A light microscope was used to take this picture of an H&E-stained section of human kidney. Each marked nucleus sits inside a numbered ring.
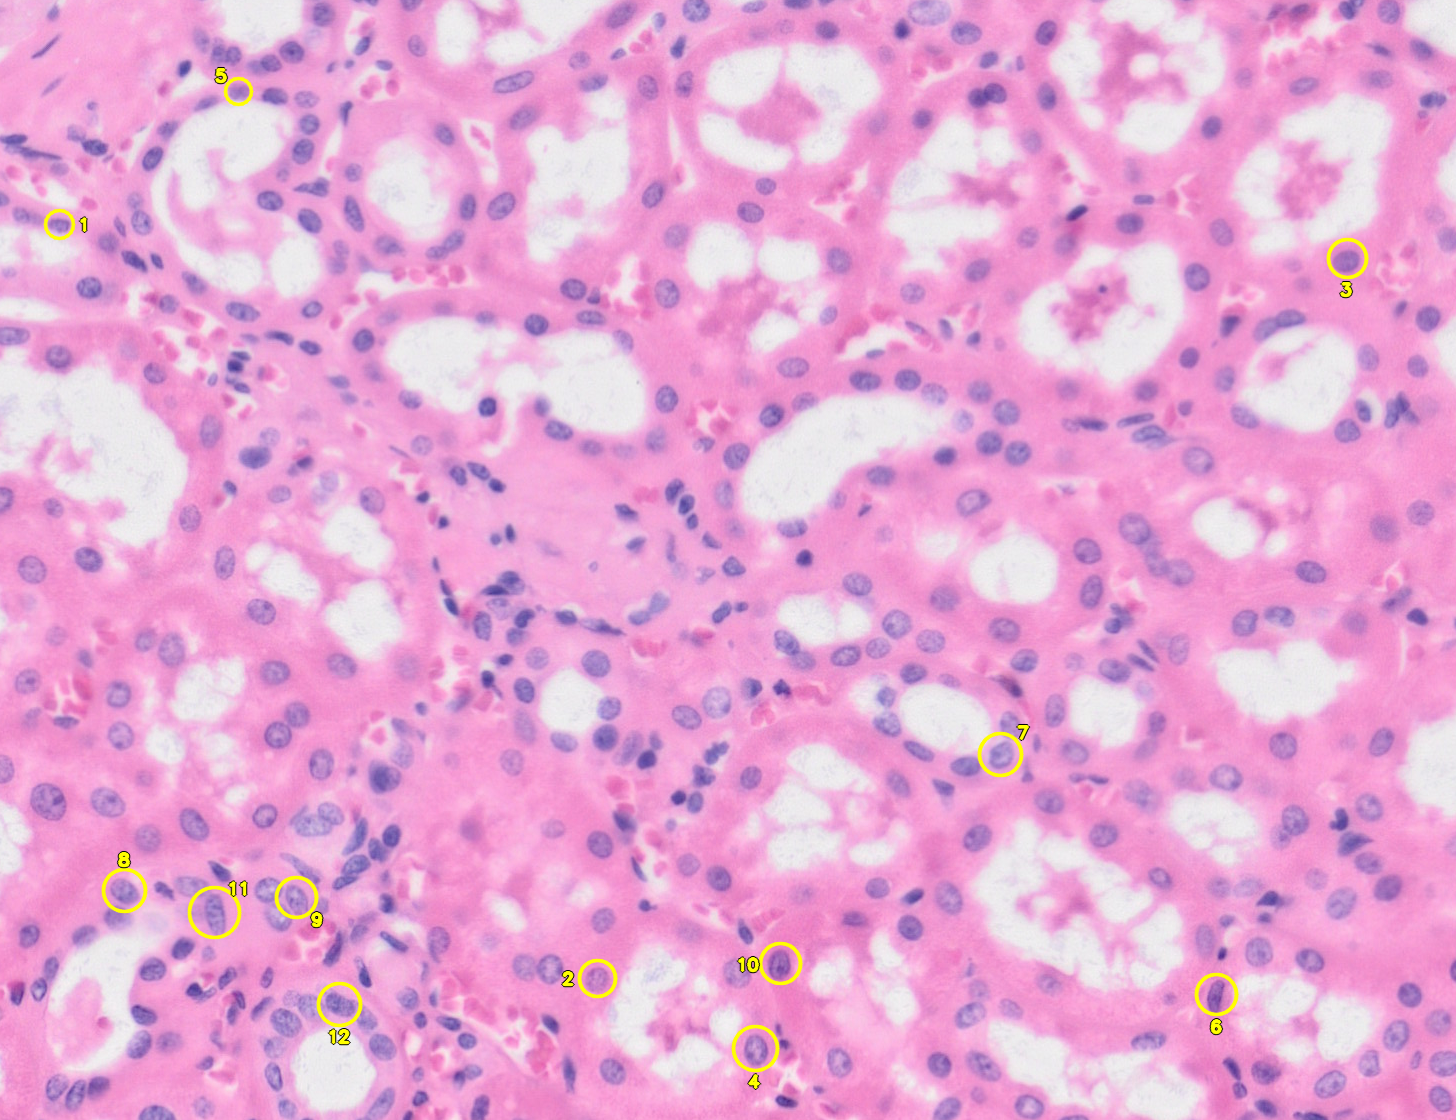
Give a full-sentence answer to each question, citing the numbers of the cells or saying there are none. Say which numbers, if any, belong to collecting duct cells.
The cells numbered 1, 5, 7, 8, 9, 11 and 12 are of one kind: collecting duct cells.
